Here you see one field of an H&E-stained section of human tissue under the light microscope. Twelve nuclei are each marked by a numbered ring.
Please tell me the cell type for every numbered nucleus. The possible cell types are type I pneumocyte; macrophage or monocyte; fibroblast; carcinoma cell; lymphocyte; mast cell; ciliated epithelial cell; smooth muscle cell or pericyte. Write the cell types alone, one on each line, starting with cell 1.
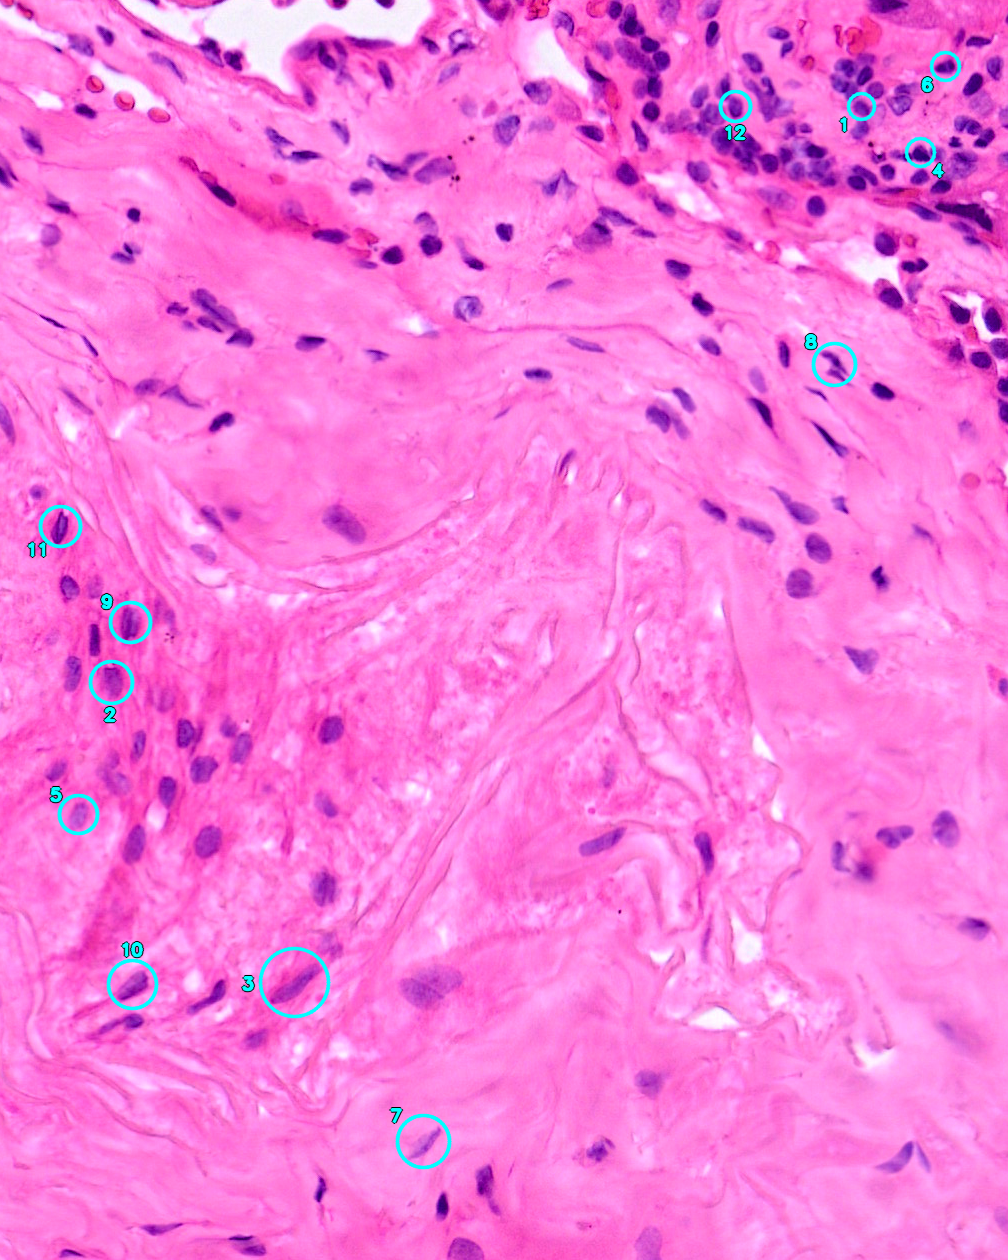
lymphocyte
smooth muscle cell or pericyte
smooth muscle cell or pericyte
lymphocyte
smooth muscle cell or pericyte
lymphocyte
fibroblast
fibroblast
smooth muscle cell or pericyte
smooth muscle cell or pericyte
smooth muscle cell or pericyte
lymphocyte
